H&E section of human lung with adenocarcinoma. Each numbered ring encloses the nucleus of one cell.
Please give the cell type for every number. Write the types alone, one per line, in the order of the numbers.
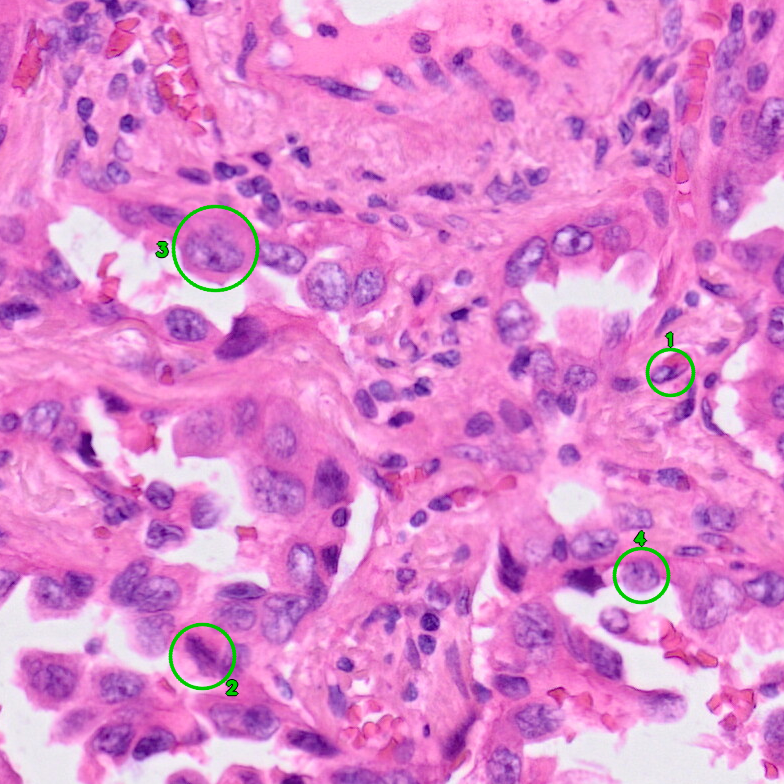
endothelial cell
carcinoma cell
carcinoma cell
carcinoma cell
